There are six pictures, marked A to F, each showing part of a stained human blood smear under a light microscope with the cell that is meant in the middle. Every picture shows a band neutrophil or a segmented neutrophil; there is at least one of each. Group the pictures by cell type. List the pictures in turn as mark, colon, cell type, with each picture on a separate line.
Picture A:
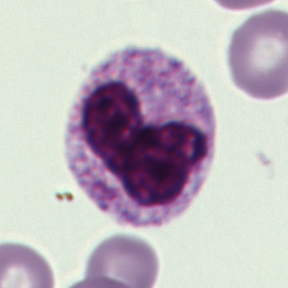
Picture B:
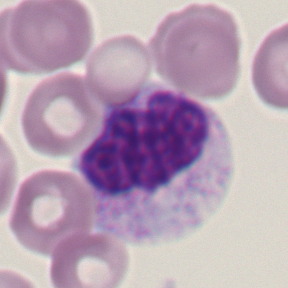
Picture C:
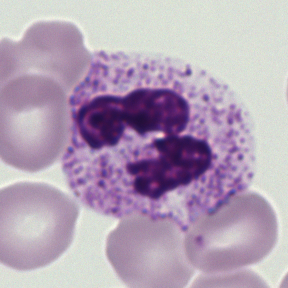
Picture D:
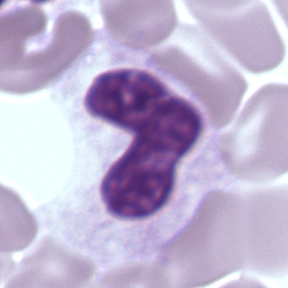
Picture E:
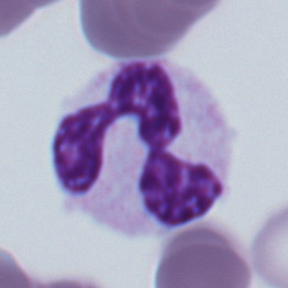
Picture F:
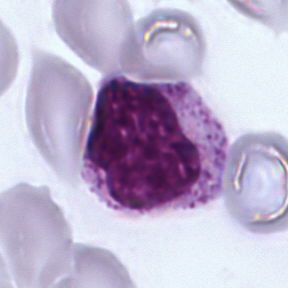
A: segmented neutrophil
B: segmented neutrophil
C: segmented neutrophil
D: band neutrophil
E: segmented neutrophil
F: band neutrophil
